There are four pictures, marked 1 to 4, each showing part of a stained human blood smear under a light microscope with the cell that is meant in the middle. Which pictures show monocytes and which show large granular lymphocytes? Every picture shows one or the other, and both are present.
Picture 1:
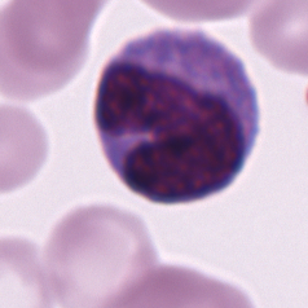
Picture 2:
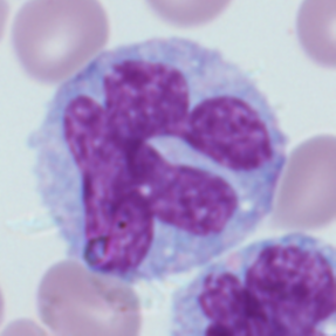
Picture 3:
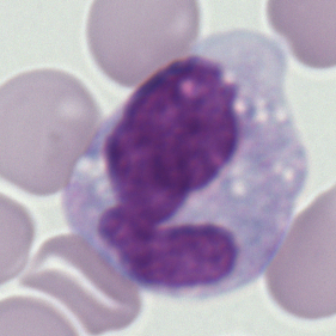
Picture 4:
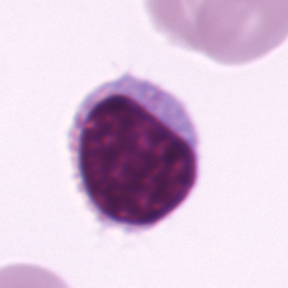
1: monocyte
2: monocyte
3: monocyte
4: large granular lymphocyte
